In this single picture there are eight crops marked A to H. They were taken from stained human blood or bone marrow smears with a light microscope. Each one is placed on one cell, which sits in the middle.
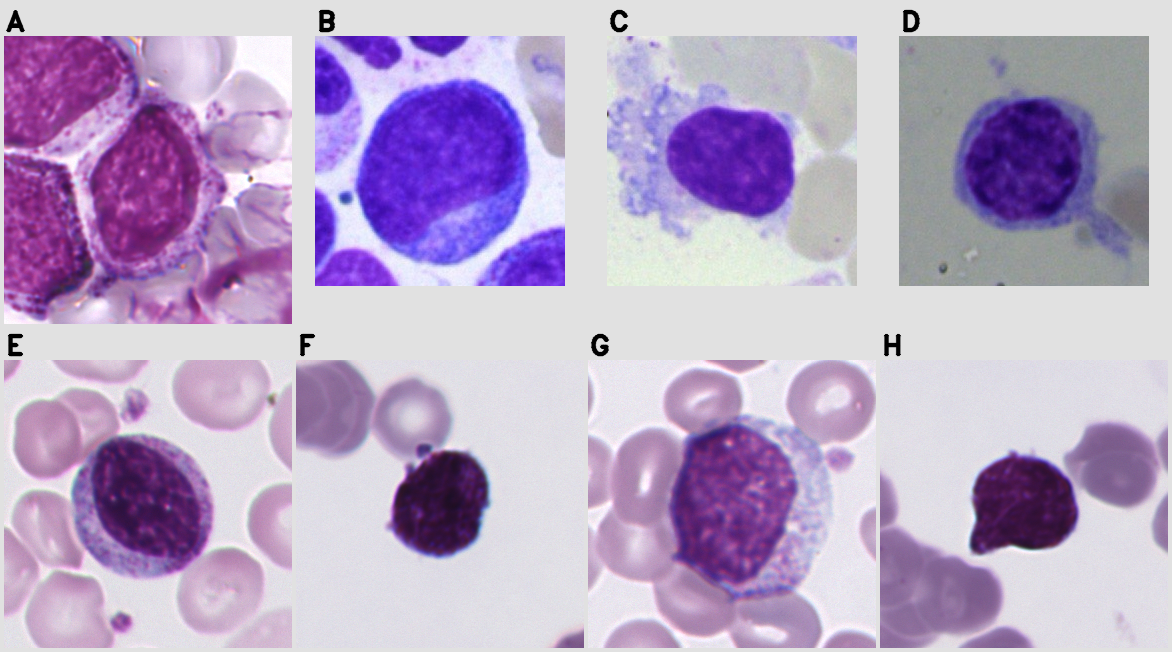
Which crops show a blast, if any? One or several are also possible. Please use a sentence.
What crops B, F and H show in the middle are blasts.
